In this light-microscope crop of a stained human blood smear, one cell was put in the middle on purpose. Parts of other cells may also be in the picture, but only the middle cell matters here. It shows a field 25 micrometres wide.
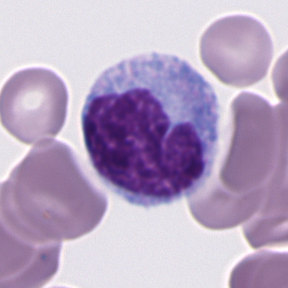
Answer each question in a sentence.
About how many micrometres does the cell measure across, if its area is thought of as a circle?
The diameter of the cell comes to about 13 micrometres.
